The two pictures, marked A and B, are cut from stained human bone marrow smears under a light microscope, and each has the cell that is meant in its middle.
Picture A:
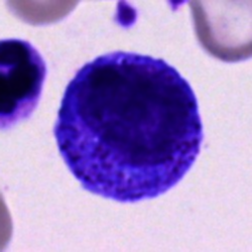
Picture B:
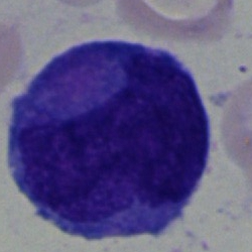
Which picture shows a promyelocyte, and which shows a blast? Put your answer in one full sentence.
It is picture A that shows a promyelocyte, and picture B that shows a blast.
